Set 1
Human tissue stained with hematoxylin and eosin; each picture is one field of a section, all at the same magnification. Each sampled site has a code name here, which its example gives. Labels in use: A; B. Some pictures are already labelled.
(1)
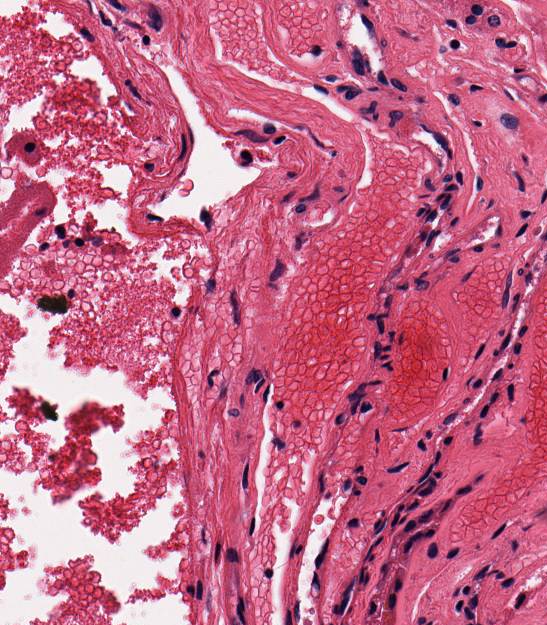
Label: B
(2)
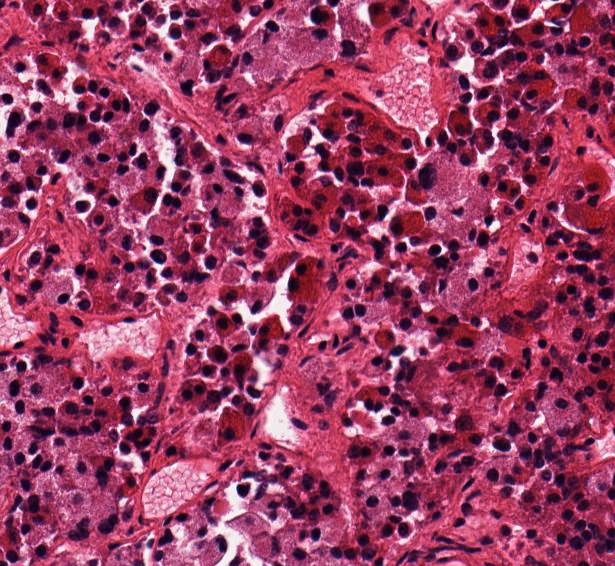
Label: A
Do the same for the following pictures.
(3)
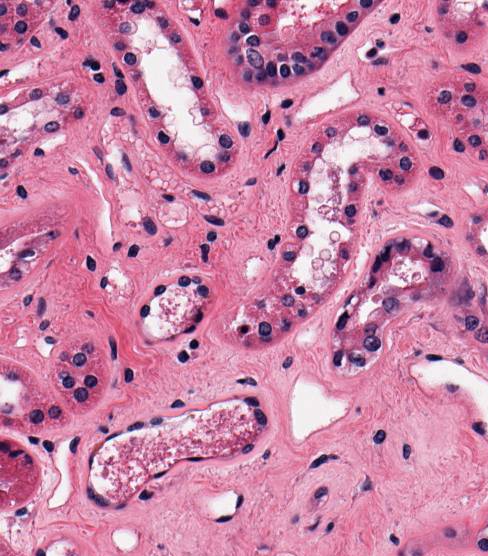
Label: B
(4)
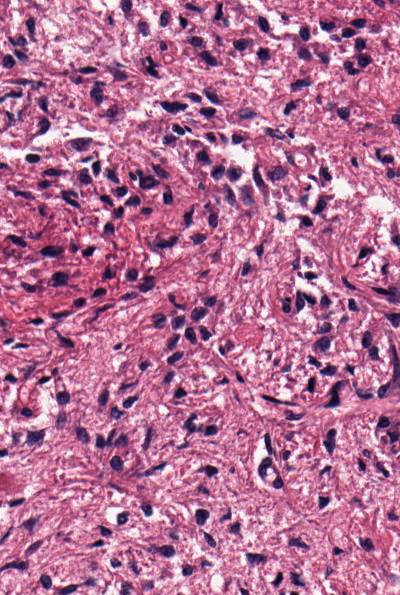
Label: A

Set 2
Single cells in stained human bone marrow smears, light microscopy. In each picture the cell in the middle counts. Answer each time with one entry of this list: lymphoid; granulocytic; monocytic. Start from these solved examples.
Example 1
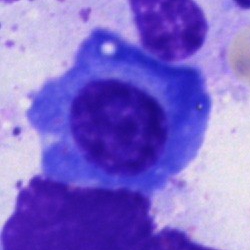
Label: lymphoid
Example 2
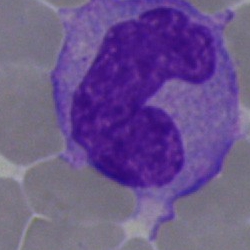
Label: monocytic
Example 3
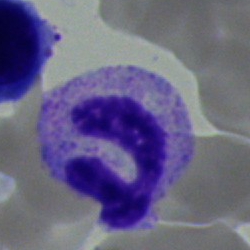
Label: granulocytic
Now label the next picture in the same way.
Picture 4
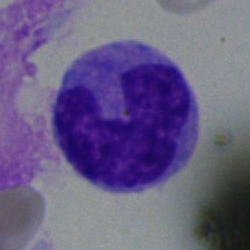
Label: monocytic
